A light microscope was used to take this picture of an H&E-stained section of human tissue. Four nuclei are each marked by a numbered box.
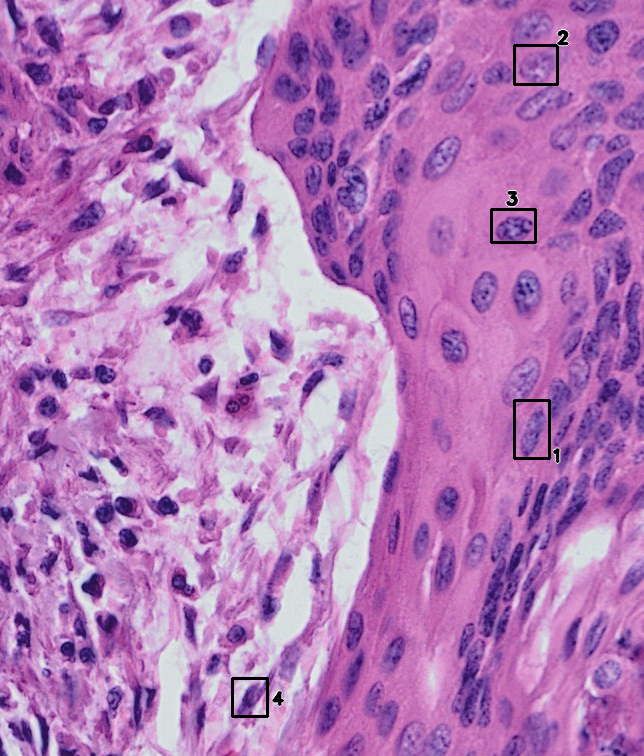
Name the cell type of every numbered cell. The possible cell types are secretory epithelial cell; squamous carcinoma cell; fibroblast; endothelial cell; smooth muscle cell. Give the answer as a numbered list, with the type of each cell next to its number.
1. squamous carcinoma cell
2. squamous carcinoma cell
3. squamous carcinoma cell
4. fibroblast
